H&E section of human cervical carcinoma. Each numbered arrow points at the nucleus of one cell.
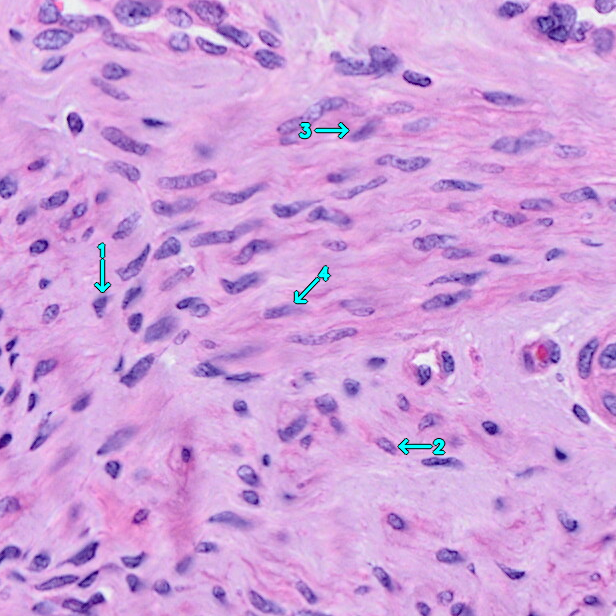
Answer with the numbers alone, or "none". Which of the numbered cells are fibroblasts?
1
